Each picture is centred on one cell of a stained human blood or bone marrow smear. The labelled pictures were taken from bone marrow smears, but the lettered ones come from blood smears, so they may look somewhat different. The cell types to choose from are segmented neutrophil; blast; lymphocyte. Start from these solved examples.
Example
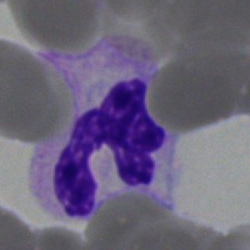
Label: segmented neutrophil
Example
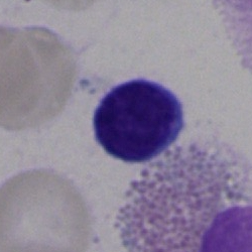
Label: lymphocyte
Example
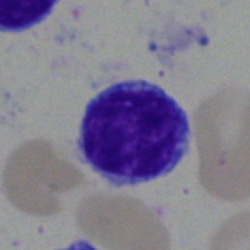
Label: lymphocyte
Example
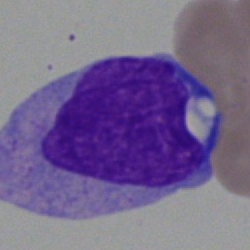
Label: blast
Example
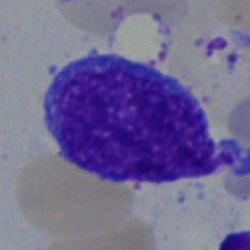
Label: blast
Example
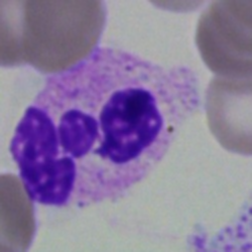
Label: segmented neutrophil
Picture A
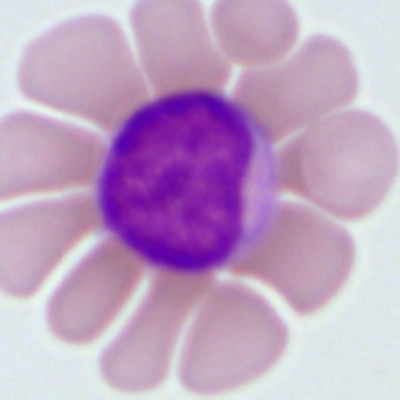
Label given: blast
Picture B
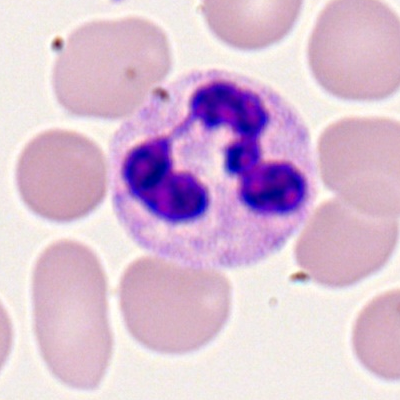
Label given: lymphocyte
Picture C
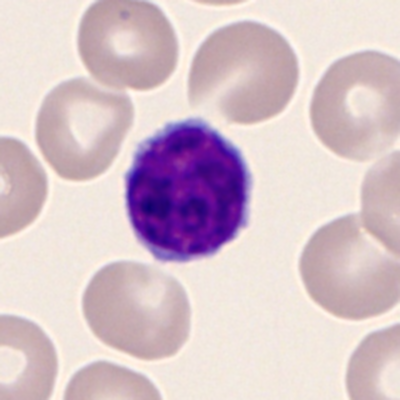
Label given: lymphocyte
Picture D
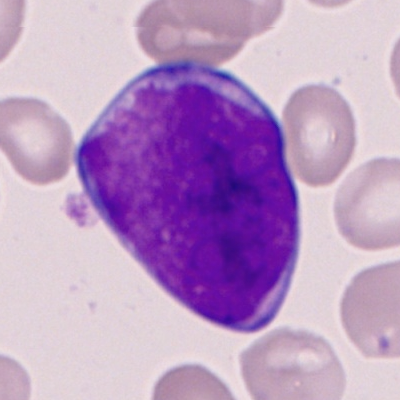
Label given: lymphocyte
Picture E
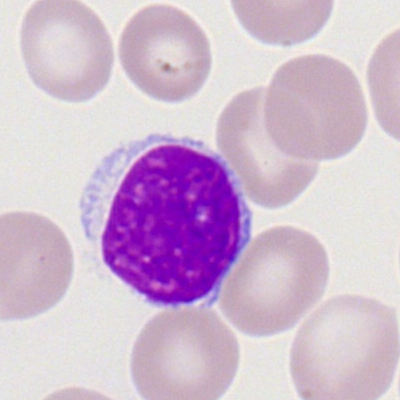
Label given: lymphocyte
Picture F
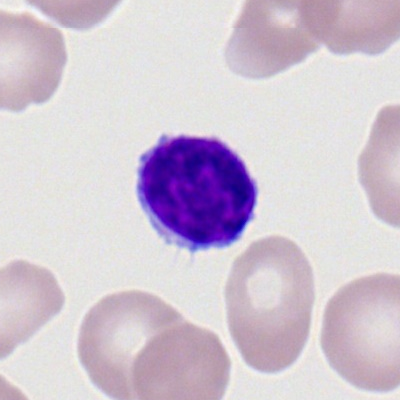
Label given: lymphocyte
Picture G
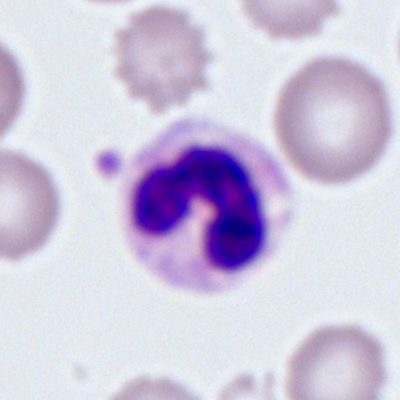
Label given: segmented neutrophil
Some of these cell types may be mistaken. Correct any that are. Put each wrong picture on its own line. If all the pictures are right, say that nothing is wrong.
B: not lymphocyte but segmented neutrophil
D: not lymphocyte but blast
